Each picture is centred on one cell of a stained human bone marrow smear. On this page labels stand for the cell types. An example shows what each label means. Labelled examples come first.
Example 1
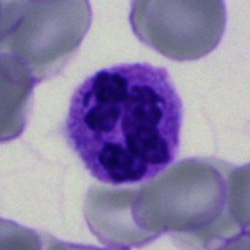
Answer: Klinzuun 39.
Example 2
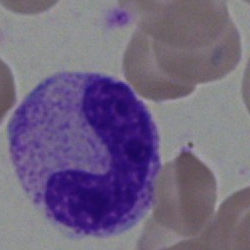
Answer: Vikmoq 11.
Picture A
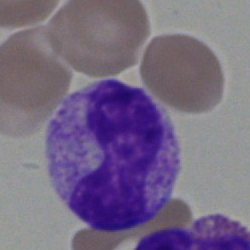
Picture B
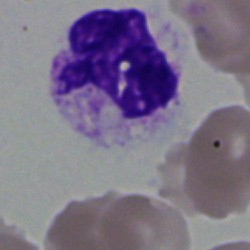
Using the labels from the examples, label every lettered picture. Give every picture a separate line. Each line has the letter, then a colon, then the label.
A: Vikmoq 11.
B: Klinzuun 39.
